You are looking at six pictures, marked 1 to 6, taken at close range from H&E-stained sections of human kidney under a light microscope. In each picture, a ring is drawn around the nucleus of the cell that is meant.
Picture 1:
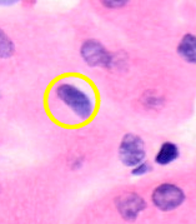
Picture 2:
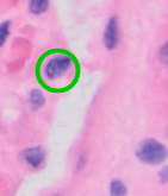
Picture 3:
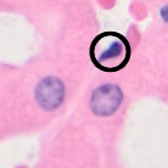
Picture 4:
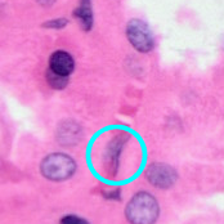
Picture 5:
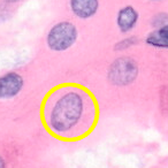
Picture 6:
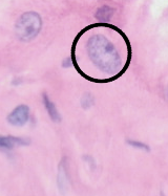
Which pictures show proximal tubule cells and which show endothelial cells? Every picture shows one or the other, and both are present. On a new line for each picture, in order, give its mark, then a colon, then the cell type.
1: endothelial cell
2: endothelial cell
3: endothelial cell
4: endothelial cell
5: proximal tubule cell
6: proximal tubule cell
